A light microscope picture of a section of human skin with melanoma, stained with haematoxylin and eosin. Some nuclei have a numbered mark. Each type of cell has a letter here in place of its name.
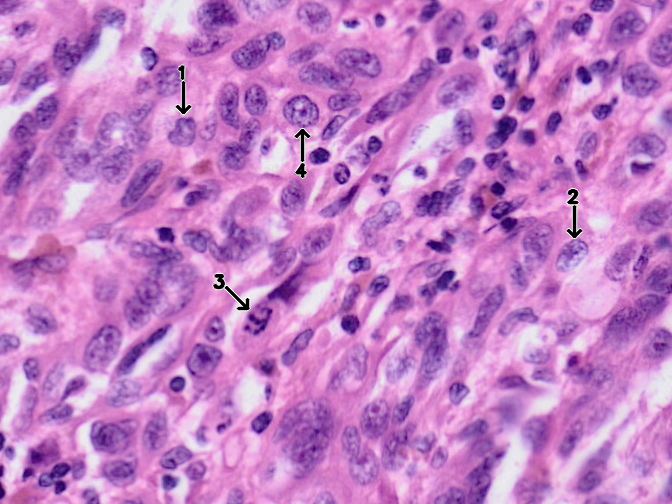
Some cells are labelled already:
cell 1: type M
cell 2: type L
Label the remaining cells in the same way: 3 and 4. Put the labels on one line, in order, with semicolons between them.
type L; type L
